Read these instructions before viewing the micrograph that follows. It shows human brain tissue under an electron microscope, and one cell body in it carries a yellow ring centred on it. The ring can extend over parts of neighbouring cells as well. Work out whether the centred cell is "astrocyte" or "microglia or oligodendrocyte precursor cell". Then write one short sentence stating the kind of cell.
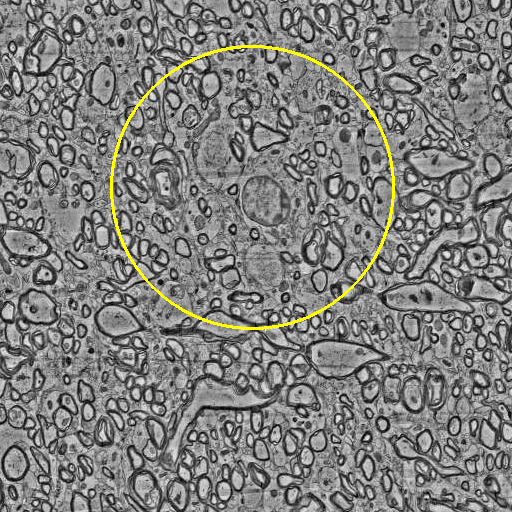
The ringed cell is a microglial cell or oligodendrocyte precursor cell.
